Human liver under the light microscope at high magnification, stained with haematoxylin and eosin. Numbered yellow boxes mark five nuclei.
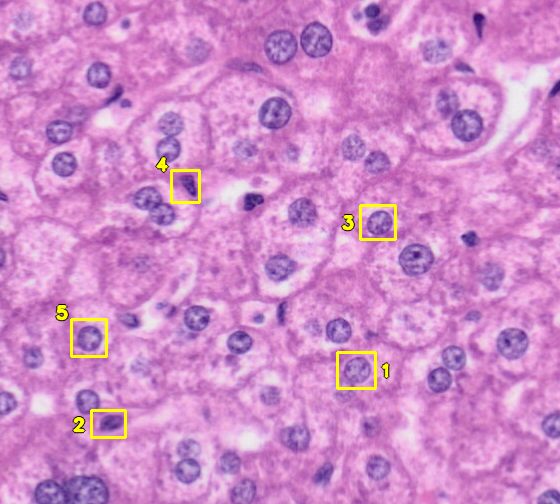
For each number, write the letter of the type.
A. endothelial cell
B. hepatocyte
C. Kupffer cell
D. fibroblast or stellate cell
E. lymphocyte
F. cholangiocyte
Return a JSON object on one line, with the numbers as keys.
{"1": "B", "2": "C", "3": "B", "4": "D", "5": "B"}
